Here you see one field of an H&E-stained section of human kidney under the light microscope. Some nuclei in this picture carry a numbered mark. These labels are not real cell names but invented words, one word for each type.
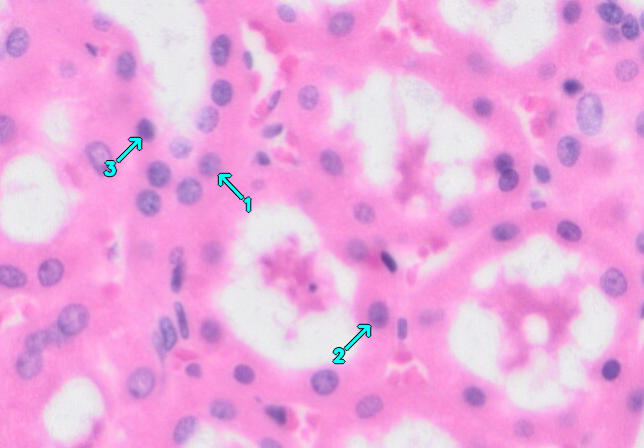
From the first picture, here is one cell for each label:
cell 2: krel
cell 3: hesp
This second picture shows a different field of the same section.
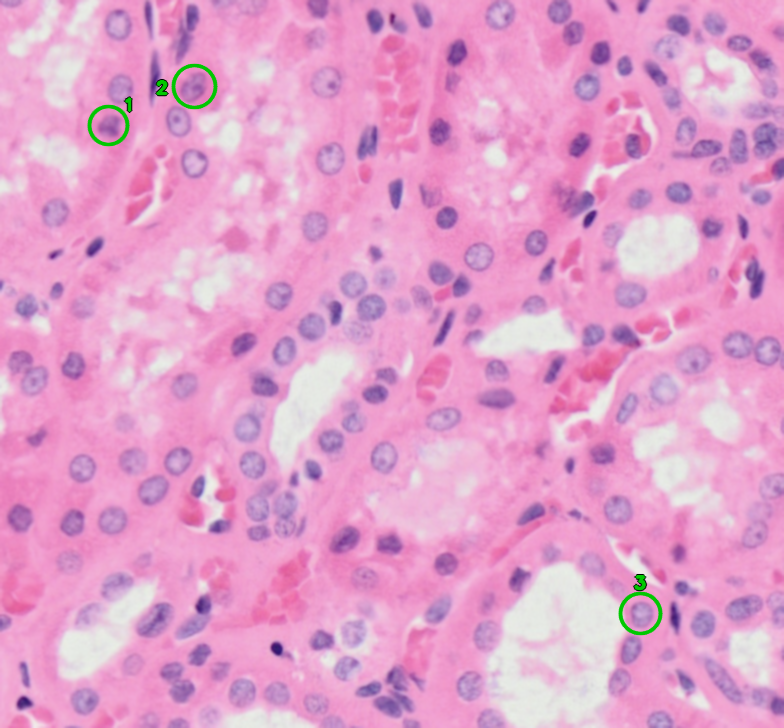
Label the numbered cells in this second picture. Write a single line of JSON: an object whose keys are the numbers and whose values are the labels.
{"1": "krel", "2": "krel", "3": "hesp"}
